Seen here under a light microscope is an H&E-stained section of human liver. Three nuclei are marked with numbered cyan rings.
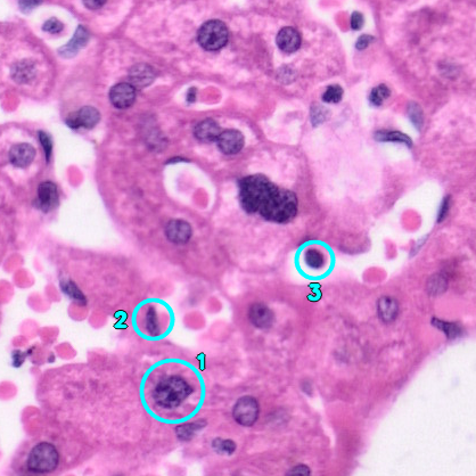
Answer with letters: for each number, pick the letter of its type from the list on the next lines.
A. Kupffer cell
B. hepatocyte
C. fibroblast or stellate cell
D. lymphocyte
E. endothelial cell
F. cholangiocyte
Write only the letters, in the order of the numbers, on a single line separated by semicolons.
B; C; D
